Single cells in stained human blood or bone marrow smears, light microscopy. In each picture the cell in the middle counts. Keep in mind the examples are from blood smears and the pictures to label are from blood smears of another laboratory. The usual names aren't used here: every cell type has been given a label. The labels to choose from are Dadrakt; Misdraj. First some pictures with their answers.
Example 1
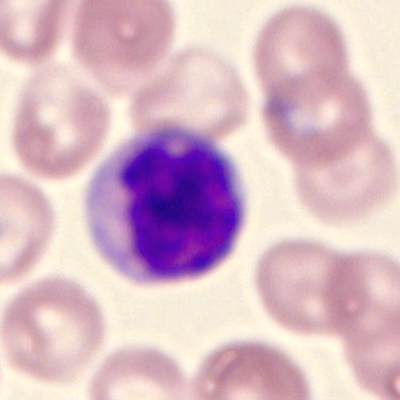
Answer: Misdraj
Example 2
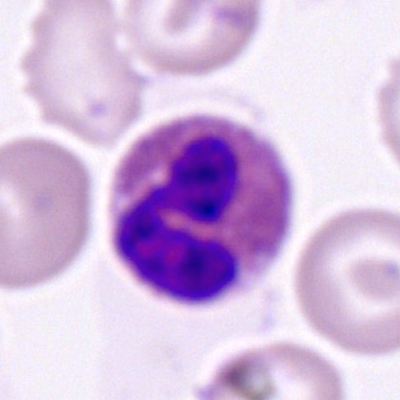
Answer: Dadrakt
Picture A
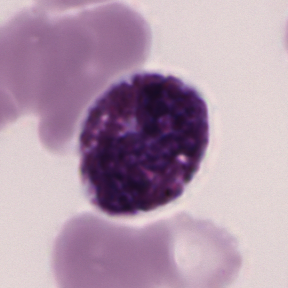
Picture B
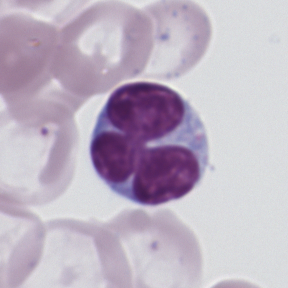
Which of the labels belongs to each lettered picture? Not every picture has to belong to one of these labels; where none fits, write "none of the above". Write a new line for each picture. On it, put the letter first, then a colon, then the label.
A: Dadrakt
B: Misdraj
